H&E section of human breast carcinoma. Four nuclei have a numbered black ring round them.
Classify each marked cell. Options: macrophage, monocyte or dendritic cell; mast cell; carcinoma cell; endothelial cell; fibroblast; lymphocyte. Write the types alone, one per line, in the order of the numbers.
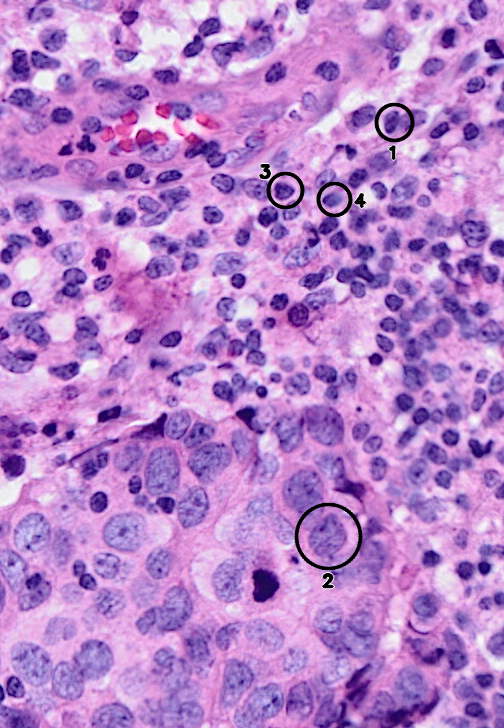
lymphocyte
carcinoma cell
lymphocyte
lymphocyte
